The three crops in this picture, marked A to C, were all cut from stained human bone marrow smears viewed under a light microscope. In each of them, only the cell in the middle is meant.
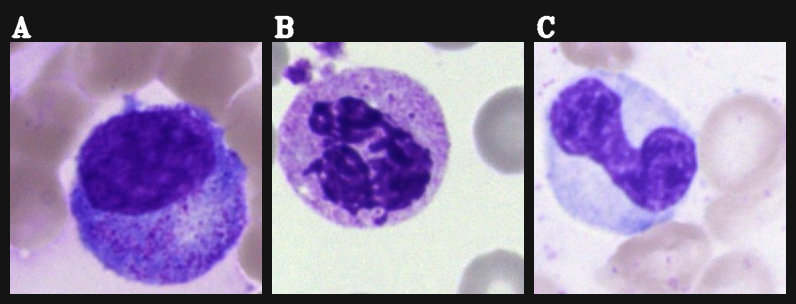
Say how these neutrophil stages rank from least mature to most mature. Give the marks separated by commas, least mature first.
A, C, B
